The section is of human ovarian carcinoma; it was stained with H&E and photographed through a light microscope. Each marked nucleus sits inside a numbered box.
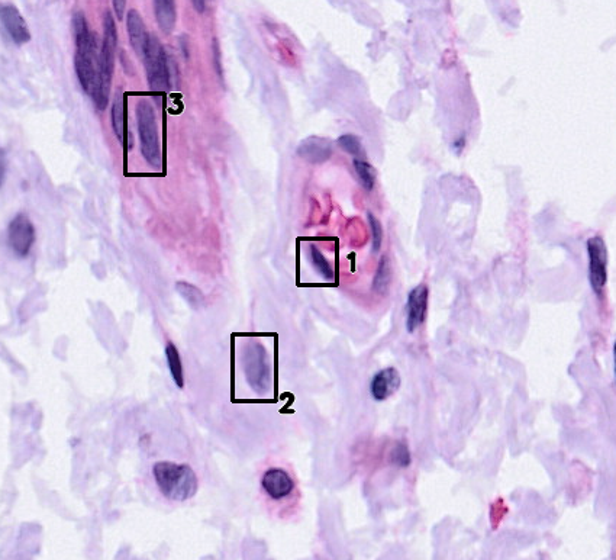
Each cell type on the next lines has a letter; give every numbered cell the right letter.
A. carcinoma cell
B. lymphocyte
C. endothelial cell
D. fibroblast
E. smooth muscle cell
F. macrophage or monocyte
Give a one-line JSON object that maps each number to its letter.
{"1": "C", "2": "D", "3": "E"}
